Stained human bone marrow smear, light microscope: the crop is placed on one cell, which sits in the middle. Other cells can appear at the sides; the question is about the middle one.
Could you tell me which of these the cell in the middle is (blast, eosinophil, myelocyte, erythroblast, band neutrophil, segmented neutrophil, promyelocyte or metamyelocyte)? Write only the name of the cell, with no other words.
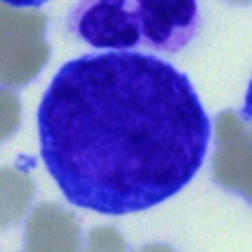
blast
